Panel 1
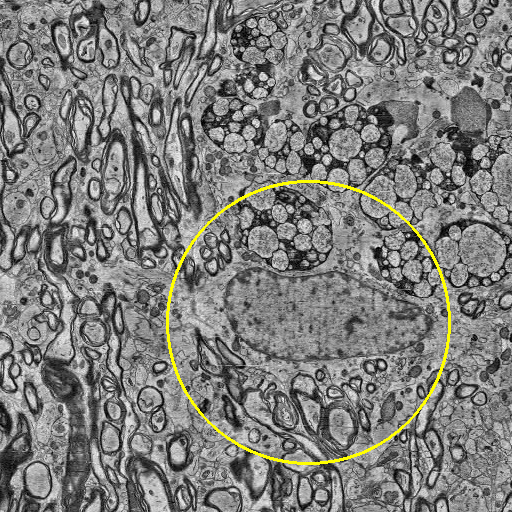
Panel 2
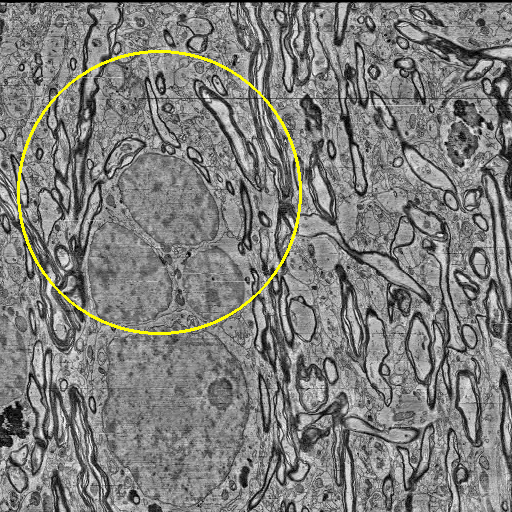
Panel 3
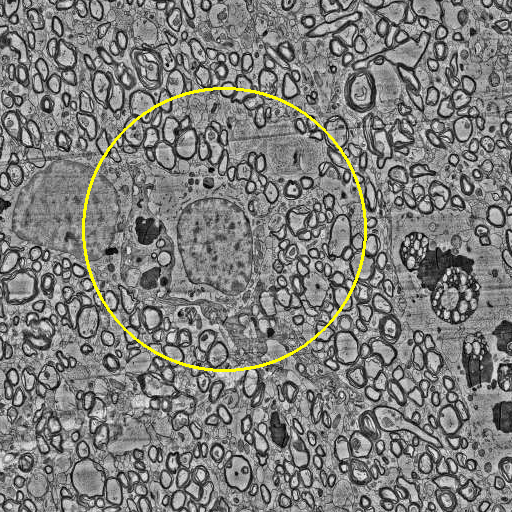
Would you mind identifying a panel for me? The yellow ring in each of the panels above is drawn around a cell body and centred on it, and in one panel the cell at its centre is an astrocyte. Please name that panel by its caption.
Panel 1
